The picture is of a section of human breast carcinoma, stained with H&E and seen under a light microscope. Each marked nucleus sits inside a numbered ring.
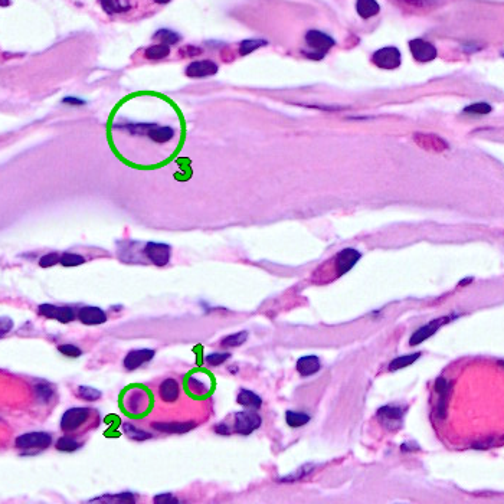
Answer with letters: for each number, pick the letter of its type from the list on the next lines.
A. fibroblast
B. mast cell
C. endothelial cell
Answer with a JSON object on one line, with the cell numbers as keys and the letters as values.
{"1": "C", "2": "C", "3": "A"}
